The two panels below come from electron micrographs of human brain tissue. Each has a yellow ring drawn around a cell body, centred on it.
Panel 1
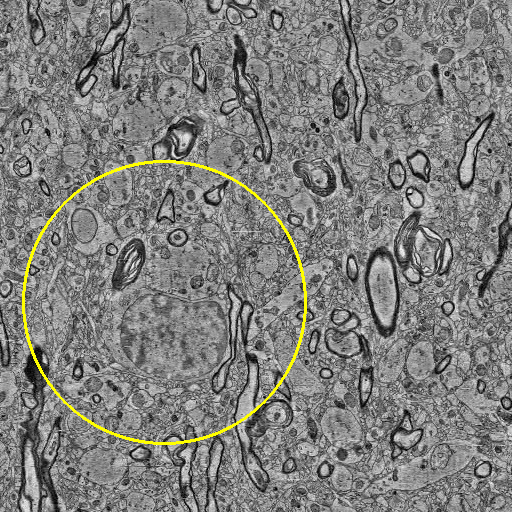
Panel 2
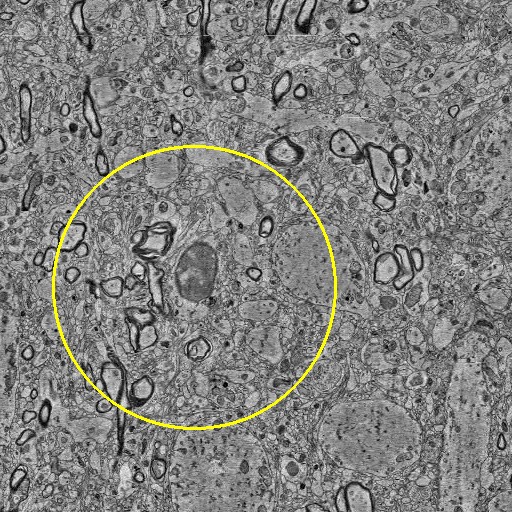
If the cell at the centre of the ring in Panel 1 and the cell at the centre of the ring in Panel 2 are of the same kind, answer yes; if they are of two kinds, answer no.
no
